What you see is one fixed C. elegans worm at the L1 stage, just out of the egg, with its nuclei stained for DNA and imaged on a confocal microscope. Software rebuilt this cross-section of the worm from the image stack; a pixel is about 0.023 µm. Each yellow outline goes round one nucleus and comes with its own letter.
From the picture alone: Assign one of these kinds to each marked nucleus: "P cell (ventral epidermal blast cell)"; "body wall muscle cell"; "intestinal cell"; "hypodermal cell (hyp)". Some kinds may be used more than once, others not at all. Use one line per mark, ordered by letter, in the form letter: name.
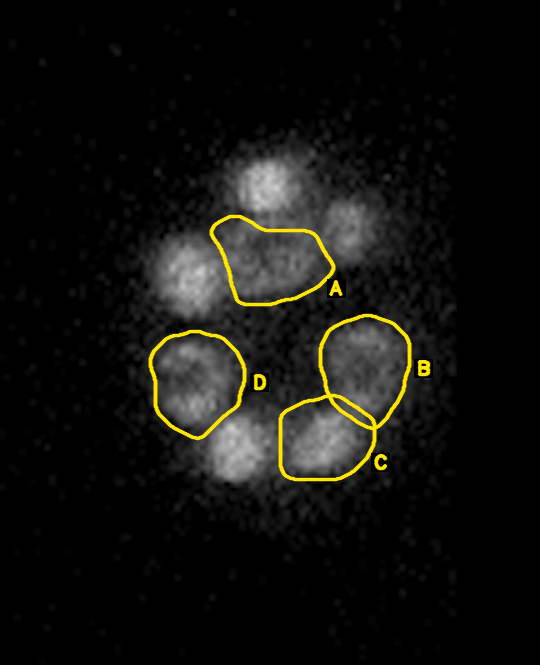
A: intestinal cell
B: hypodermal cell (hyp)
C: body wall muscle cell
D: hypodermal cell (hyp)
